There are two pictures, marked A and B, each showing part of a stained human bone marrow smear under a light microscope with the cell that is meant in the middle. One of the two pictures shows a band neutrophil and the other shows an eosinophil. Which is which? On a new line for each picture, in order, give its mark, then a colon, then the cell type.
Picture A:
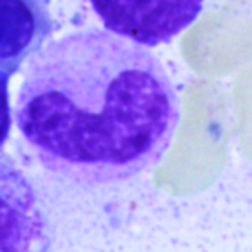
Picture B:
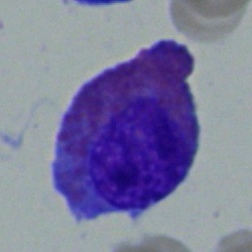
A: band neutrophil
B: eosinophil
